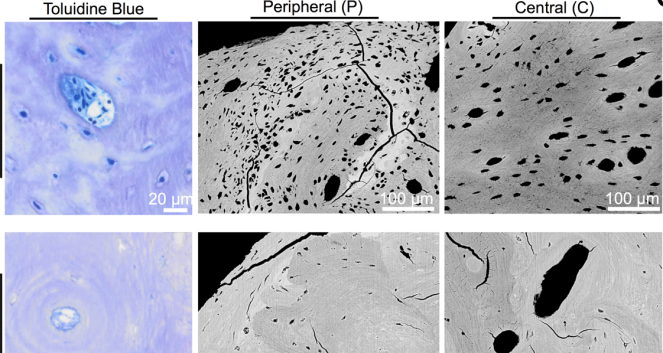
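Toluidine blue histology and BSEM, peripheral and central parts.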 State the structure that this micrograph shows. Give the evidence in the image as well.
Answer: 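Osteocyte lacunae. Many small dark oval spaces scattered through grey bone matrix in the upper electron images. Fewer such spaces in the lower electron images.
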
